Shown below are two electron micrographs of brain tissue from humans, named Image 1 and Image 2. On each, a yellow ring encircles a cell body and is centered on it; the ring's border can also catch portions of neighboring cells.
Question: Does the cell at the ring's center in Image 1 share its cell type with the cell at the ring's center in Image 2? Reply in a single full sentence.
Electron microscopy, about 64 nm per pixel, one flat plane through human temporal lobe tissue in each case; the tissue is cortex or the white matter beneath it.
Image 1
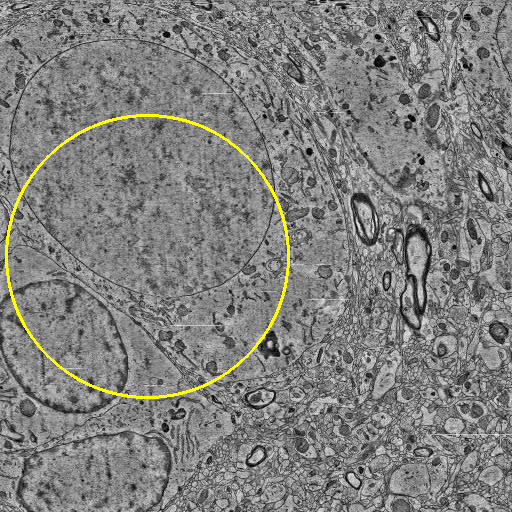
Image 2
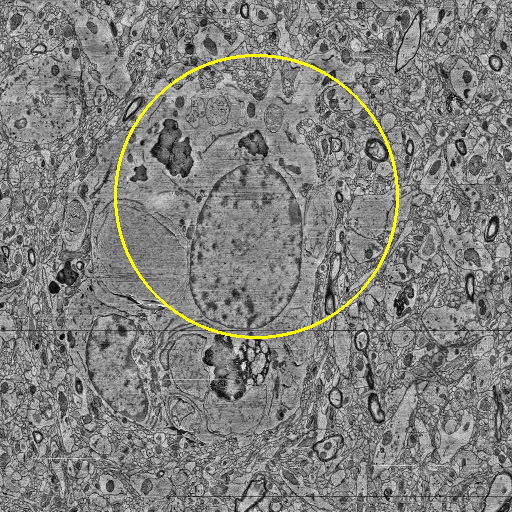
No, the two cells at the ring centers, in Image 1 and Image 2, are of two cell types.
